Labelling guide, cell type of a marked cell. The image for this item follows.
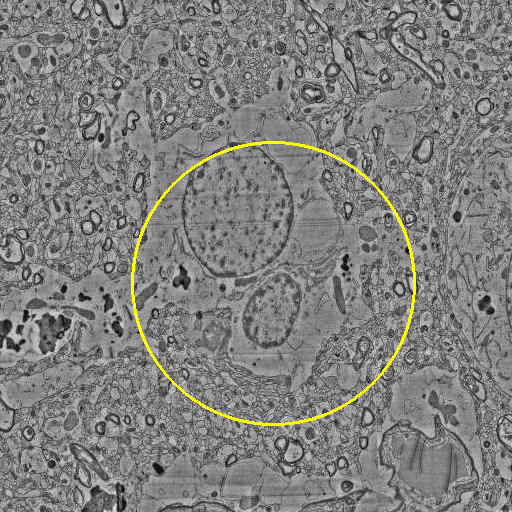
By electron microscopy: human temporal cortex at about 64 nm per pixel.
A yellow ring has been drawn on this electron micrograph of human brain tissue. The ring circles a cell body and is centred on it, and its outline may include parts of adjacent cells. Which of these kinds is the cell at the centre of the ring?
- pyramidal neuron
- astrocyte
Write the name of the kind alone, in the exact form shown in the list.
astrocyte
